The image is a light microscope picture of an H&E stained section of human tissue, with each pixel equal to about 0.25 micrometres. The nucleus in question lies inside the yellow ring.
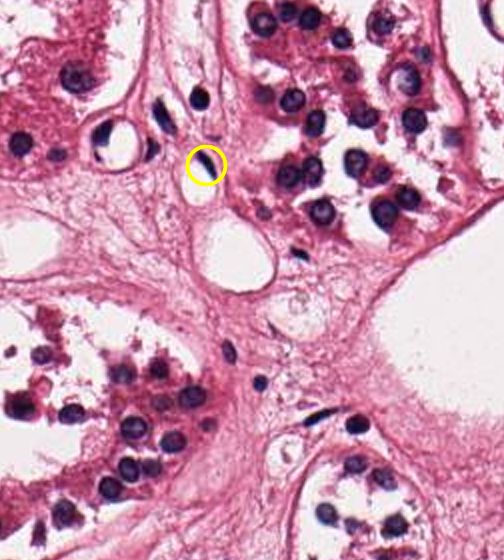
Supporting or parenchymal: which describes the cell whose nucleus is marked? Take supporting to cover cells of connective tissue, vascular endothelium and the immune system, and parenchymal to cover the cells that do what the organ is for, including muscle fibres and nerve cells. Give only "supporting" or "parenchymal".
supporting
